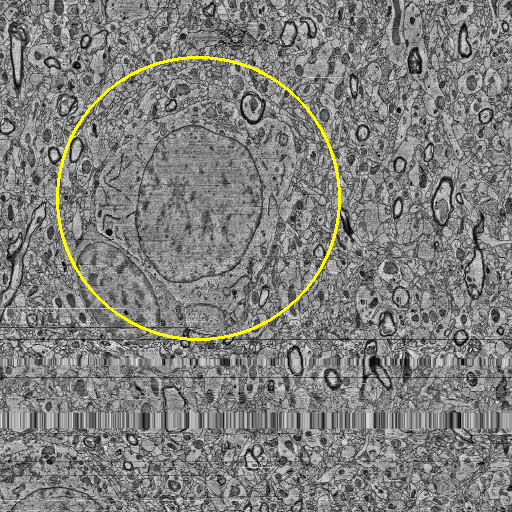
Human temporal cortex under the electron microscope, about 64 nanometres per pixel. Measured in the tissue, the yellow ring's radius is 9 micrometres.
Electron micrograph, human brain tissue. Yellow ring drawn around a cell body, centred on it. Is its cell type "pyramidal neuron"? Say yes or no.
yes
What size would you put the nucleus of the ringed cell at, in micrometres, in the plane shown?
The nucleus of the ringed cell is approximately 10 by 8 micrometres in this plane.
